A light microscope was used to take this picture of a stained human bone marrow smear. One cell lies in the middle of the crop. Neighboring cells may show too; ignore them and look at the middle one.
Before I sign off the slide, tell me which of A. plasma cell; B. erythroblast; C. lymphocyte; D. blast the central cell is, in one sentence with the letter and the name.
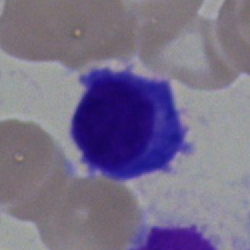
In the centre of the crop there is a plasma cell, making option A correct.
